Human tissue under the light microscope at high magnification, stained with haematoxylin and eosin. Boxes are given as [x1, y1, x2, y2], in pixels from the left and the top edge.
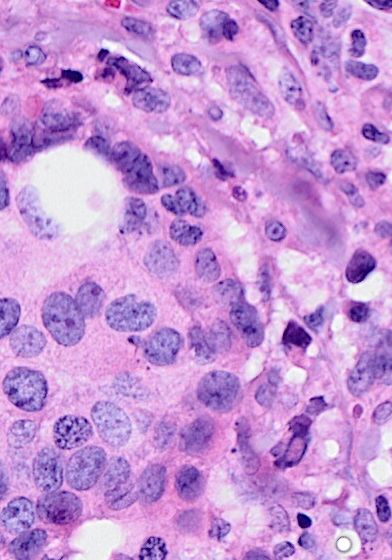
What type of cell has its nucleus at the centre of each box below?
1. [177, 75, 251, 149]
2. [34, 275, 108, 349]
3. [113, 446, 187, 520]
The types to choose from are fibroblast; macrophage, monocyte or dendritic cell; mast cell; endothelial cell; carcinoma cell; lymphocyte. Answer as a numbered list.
1. macrophage, monocyte or dendritic cell
2. carcinoma cell
3. carcinoma cell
